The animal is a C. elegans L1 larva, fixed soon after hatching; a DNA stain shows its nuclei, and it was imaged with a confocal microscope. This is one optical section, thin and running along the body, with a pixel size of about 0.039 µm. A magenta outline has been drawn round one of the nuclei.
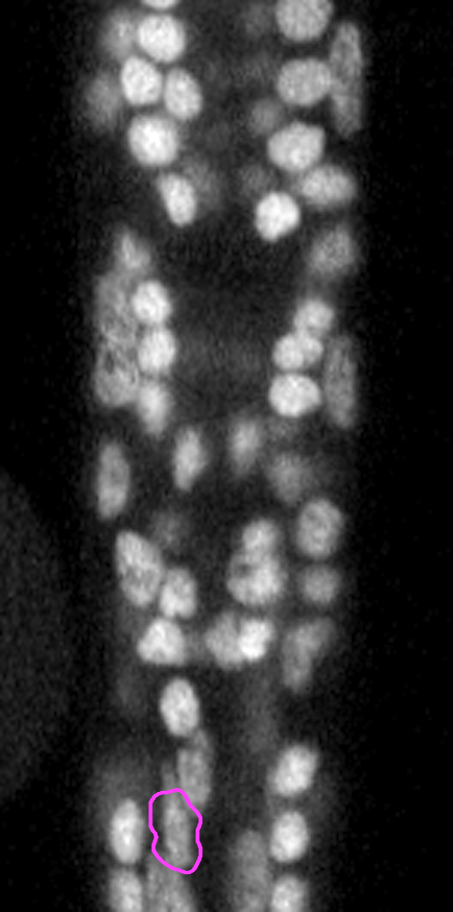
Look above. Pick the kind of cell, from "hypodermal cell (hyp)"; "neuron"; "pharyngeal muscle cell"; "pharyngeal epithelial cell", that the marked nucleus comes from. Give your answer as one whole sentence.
This is the nucleus of a pharyngeal epithelial cell.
